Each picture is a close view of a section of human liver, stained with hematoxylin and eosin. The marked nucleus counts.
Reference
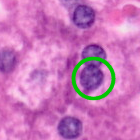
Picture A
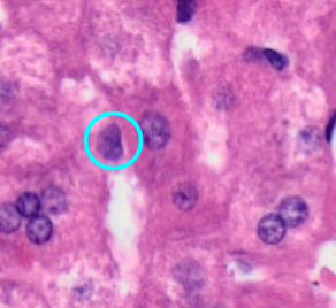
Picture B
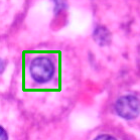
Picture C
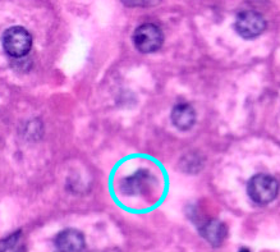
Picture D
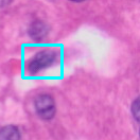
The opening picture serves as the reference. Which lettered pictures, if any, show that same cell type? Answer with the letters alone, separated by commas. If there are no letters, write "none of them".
B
